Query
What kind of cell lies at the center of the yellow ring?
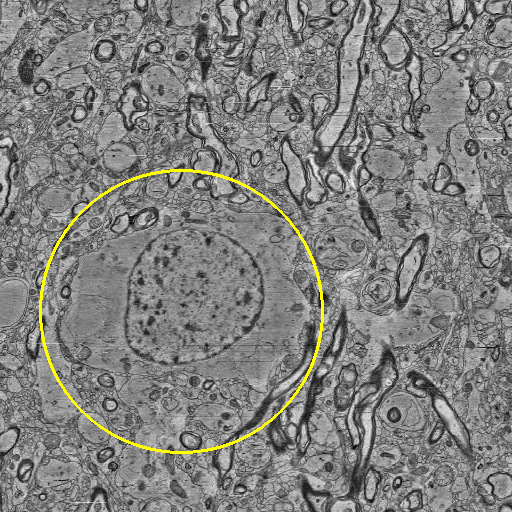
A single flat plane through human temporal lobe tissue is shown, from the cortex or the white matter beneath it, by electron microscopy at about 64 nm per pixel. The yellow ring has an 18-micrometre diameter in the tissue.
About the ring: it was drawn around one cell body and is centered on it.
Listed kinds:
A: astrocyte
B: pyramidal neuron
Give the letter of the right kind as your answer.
A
